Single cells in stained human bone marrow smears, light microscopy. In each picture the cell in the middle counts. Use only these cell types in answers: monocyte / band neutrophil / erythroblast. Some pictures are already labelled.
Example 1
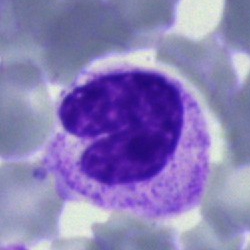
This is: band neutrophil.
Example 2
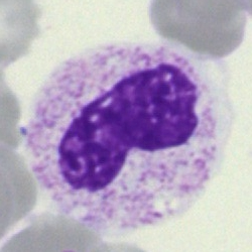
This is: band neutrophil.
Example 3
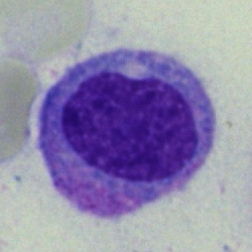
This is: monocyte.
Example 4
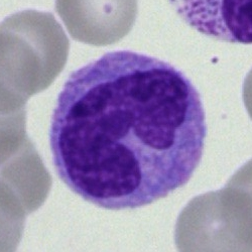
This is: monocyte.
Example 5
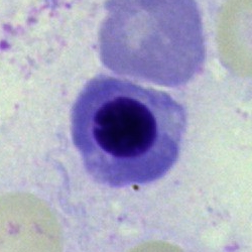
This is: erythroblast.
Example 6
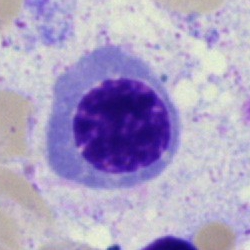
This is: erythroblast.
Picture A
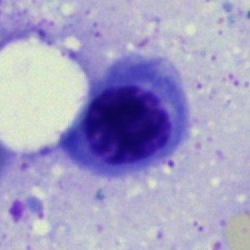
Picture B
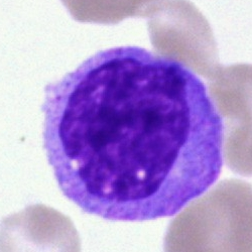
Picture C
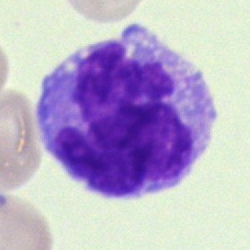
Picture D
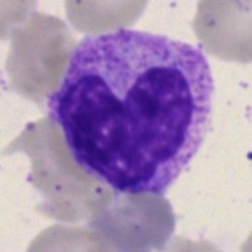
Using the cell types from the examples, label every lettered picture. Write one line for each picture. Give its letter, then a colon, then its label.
A: erythroblast.
B: monocyte.
C: monocyte.
D: band neutrophil.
